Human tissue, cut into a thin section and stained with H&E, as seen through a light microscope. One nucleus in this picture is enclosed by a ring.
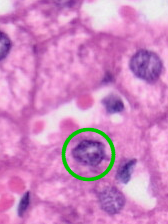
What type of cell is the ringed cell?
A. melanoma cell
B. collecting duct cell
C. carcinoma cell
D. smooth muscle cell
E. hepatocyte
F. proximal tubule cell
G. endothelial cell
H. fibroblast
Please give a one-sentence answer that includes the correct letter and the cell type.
Right answer, option E: the ringed cell is a hepatocyte.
